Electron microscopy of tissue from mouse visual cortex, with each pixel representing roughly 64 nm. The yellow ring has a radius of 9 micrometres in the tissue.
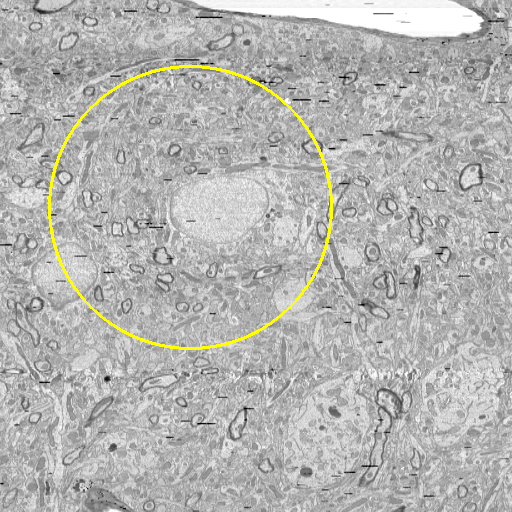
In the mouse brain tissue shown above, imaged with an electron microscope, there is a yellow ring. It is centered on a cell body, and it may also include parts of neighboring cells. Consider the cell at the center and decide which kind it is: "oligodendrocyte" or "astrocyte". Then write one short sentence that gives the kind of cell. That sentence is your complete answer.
This centered cell body is that of an astrocyte.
